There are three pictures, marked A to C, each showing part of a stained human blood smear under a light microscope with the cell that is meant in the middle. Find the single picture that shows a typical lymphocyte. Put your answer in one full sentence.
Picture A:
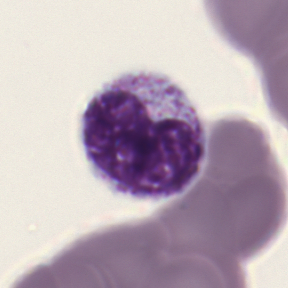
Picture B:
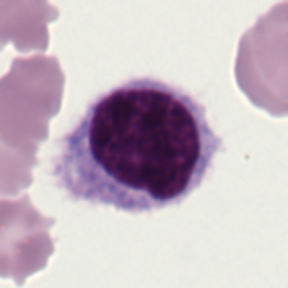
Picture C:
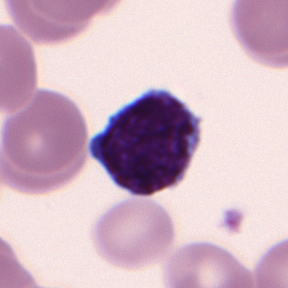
The picture with the typical lymphocyte is C.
